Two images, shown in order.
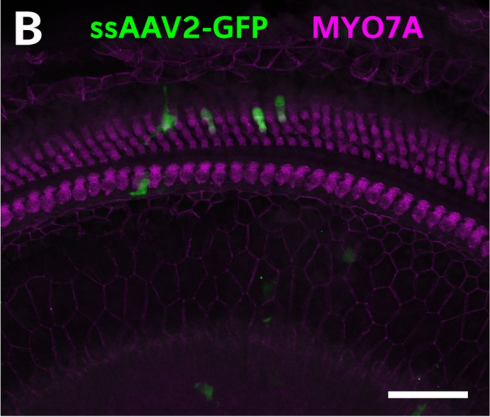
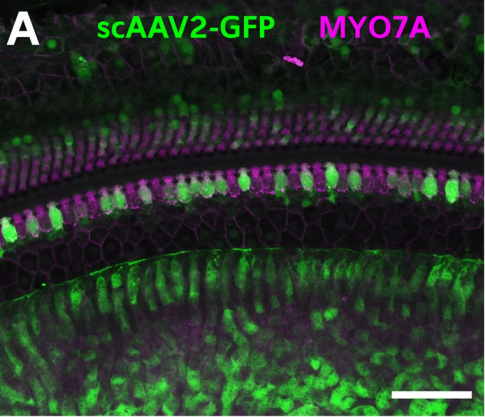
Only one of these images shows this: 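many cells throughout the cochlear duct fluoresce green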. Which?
The second image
